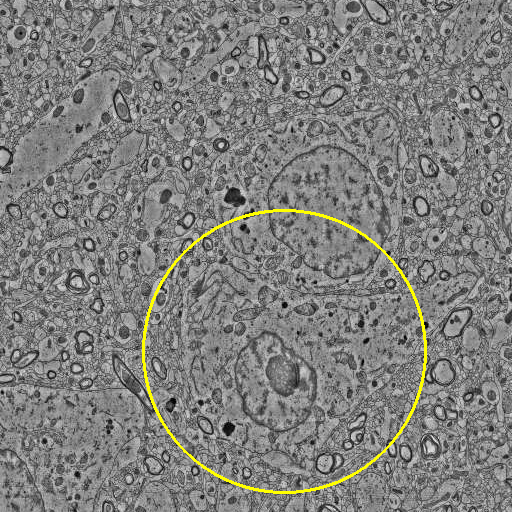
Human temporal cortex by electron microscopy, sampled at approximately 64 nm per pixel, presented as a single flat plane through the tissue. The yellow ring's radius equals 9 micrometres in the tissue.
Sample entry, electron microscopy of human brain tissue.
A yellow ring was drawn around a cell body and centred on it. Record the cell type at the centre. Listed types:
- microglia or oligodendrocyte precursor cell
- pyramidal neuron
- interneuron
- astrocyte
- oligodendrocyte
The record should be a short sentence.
The cell at the ring's centre is a pyramidal neuron.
